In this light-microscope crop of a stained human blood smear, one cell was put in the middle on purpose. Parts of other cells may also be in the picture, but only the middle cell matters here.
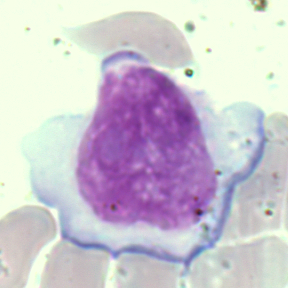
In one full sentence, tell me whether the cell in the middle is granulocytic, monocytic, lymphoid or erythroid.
Among the lineages, the lymphoid one is that of the central cell.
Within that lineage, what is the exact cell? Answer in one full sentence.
Whatever else lies nearby, the middle cell is a plasma cell.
